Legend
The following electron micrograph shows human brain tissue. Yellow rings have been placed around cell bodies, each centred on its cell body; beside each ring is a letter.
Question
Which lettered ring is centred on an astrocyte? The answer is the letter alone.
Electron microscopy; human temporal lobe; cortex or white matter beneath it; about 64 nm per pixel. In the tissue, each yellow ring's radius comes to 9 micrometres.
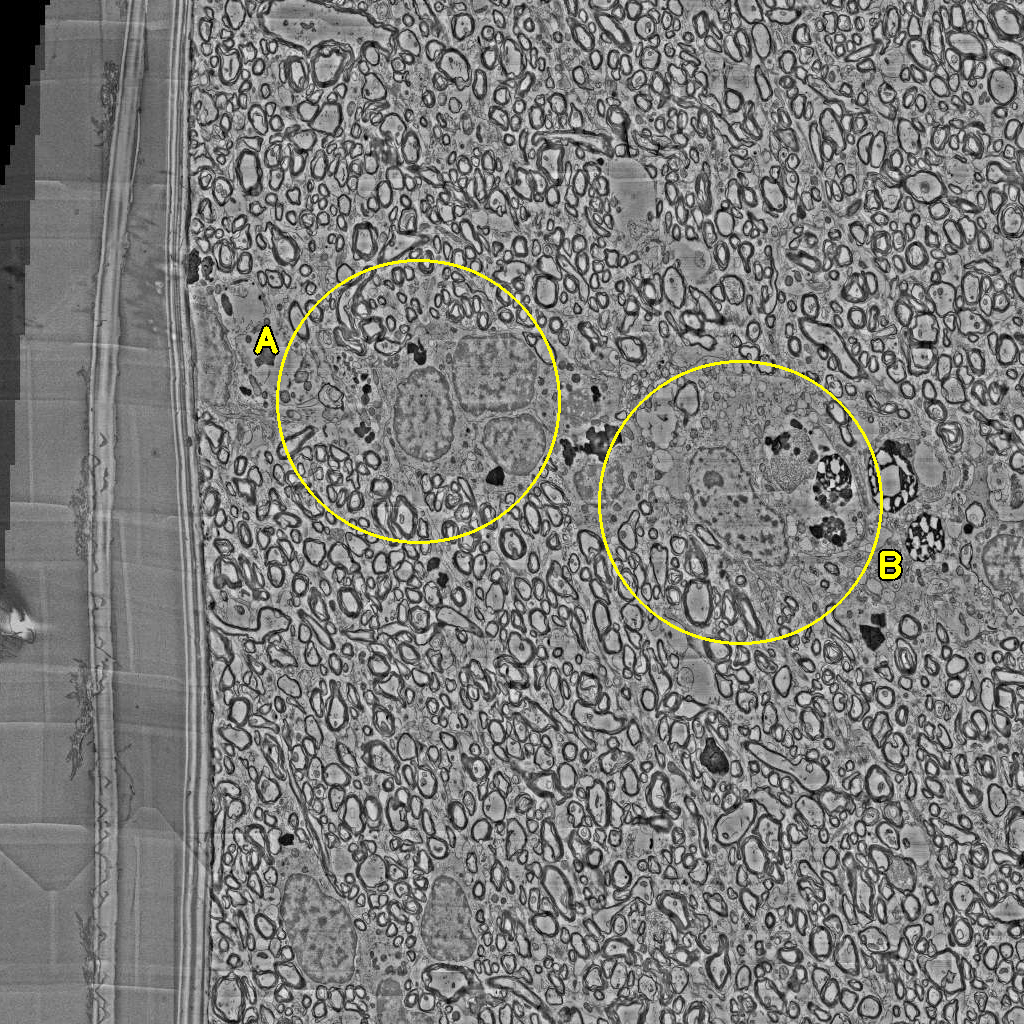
B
